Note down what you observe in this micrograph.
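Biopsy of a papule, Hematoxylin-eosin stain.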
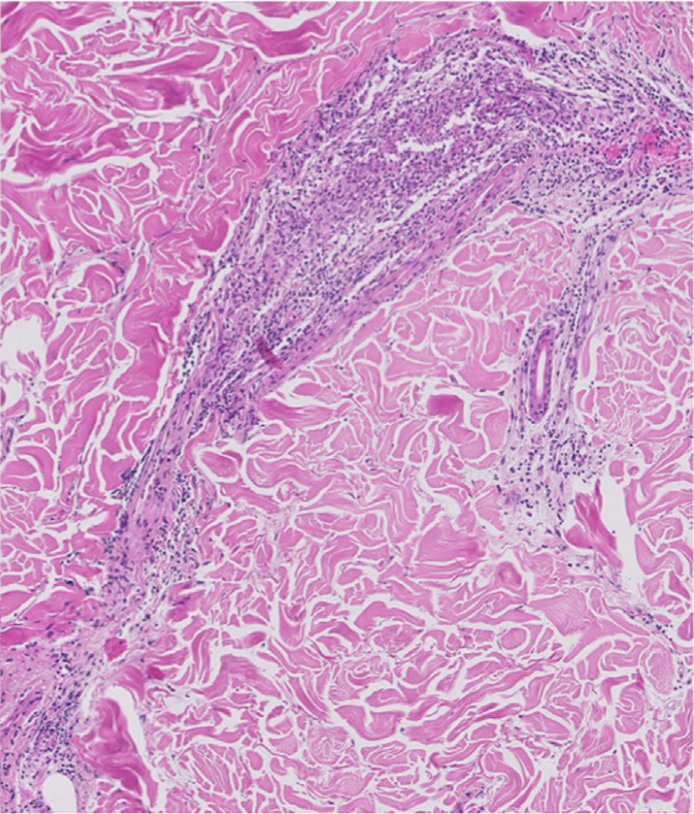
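This is the dermis, where thick pink bundles of collagen run in many directions with clefts between them. Crossing it diagonally is a vessel wrapped in a dense cuff of inflammatory cells. Away from the vessels the collagen holds only a few scattered nuclei. The infiltrate therefore follows the vessels rather than spreading evenly.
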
